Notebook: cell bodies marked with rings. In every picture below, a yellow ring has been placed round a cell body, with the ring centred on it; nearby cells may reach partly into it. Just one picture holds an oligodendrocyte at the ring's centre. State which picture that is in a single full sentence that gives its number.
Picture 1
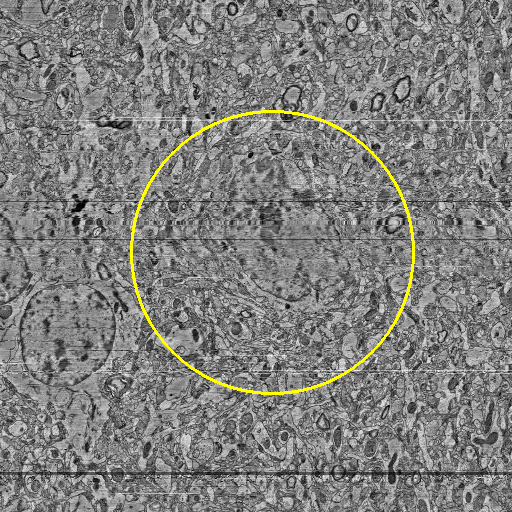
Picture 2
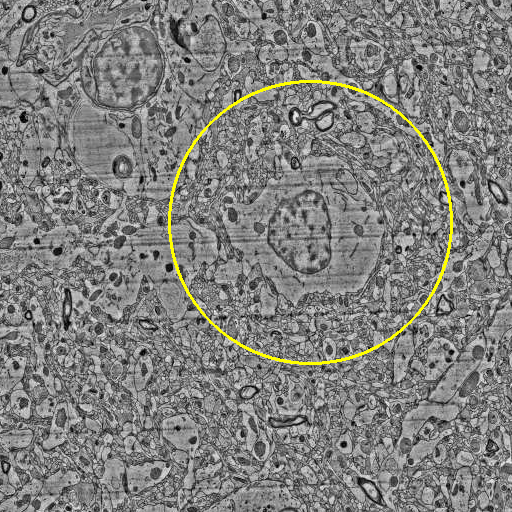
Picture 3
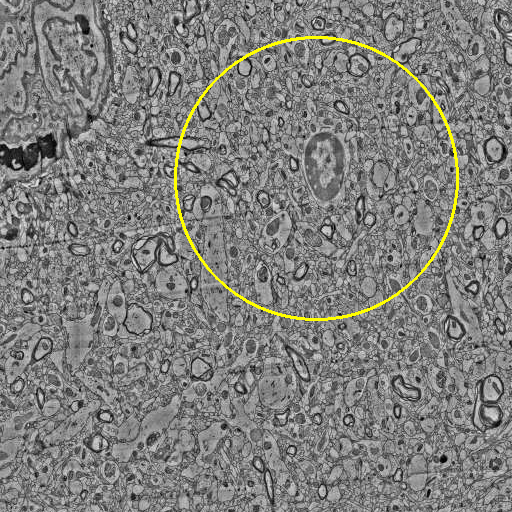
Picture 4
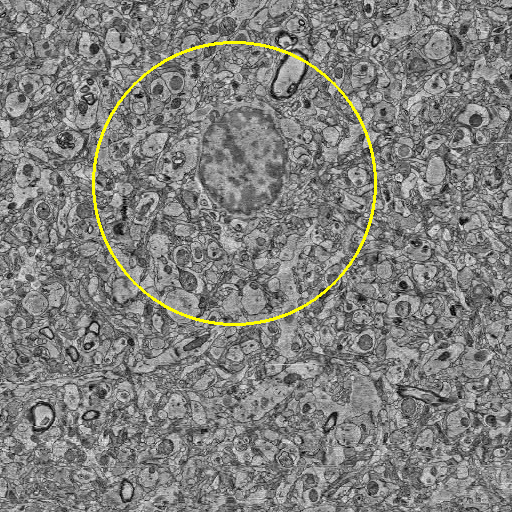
It is picture 4 whose ring has the wanted cell right at its centre.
